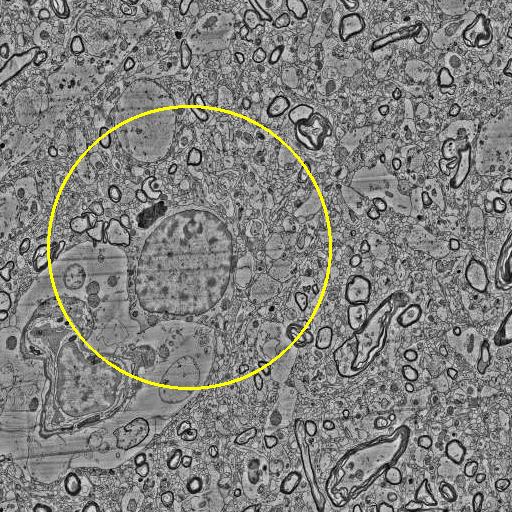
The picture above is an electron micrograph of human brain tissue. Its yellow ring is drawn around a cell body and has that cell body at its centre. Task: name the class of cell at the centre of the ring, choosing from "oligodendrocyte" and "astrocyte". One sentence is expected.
The ring surrounds the body of an oligodendrocyte.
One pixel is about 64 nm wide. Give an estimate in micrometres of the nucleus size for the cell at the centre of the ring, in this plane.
In this plane the nucleus measures roughly 7 by 6 micrometres.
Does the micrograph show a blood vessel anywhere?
Yes.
